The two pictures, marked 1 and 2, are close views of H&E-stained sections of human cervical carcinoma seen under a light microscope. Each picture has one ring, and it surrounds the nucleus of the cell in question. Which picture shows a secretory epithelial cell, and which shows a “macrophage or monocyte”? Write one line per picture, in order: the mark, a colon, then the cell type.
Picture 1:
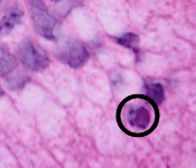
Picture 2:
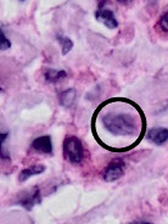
1: secretory epithelial cell
2: macrophage or monocyte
